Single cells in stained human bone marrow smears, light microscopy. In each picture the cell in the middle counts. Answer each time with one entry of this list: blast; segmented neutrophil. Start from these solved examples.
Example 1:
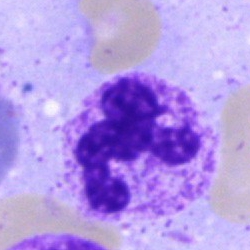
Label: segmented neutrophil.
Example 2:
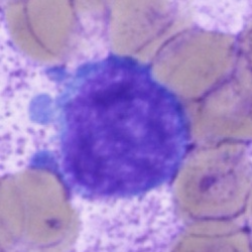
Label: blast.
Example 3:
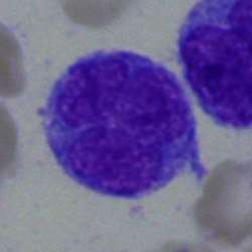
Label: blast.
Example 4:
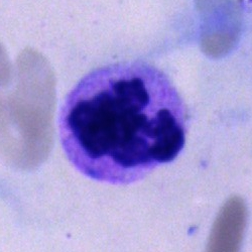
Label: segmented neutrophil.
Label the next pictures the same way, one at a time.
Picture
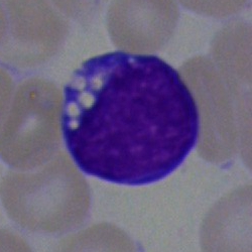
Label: blast.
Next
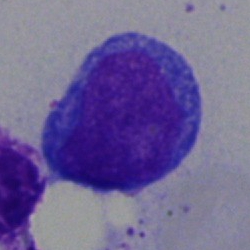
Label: blast.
